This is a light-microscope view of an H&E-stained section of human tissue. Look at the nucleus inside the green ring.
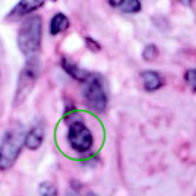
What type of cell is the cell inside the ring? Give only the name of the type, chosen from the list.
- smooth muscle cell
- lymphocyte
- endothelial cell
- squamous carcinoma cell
lymphocyte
